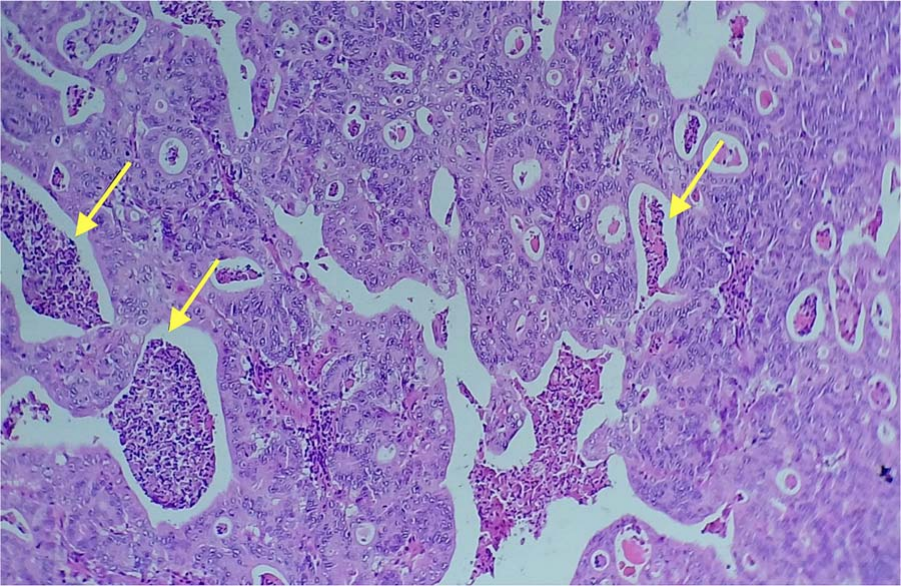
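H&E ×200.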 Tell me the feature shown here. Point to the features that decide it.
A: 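Complex tubular and cribriform arrangement. Sheets of epithelium are punched by many small round gland lumina. Tubular glands and larger gland spaces run through the tumour.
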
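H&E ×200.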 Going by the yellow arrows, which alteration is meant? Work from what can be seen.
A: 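The marked glandular lumina are filled with clumped dark purple nuclear debris mixed with pink material. The debris lies inside spaces lined by tumour epithelium.
Answer: endoluminal necrosis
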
